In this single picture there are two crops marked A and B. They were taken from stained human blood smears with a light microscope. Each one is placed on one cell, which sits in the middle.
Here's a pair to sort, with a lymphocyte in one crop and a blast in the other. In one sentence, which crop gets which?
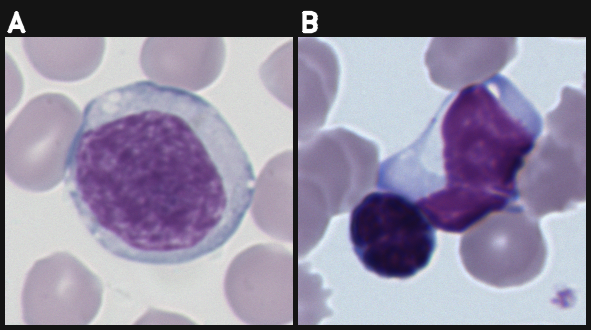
Crop A here is a blast, and crop B is a lymphocyte.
